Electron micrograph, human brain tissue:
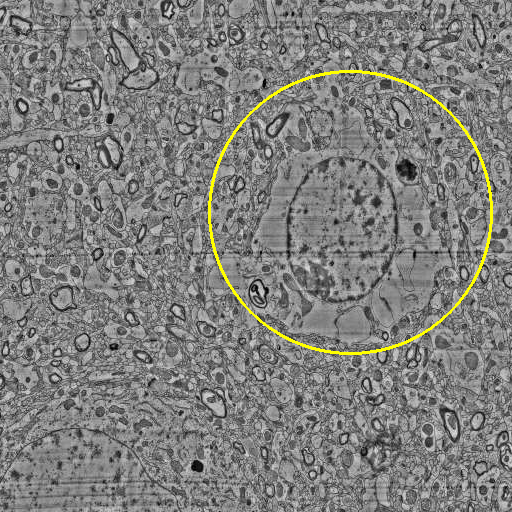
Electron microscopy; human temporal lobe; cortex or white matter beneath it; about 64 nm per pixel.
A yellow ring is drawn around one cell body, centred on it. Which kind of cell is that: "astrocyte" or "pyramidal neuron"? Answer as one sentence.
It is an astrocyte at the centre of the ring.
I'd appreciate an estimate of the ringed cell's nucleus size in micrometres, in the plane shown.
The nucleus is approximately 9 micrometers long by 7 micrometers wide in this plane.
